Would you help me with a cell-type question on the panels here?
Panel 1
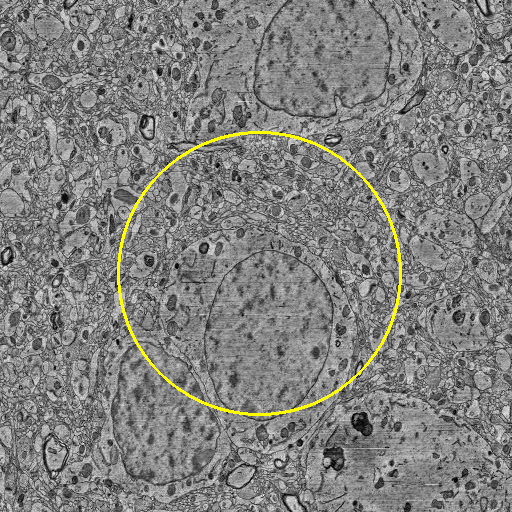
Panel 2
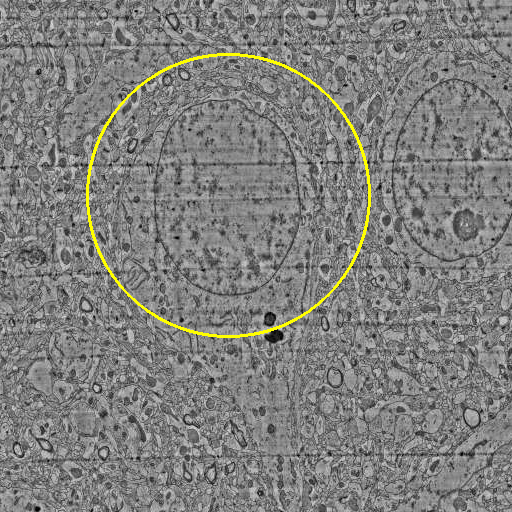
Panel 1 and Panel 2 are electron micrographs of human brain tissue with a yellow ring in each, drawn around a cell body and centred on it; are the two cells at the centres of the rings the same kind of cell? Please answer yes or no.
yes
